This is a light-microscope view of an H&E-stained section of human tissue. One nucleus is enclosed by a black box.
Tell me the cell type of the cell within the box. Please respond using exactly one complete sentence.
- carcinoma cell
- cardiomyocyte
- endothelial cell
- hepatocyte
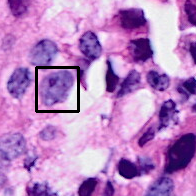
As for its identity, the cell within the box is a carcinoma cell.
